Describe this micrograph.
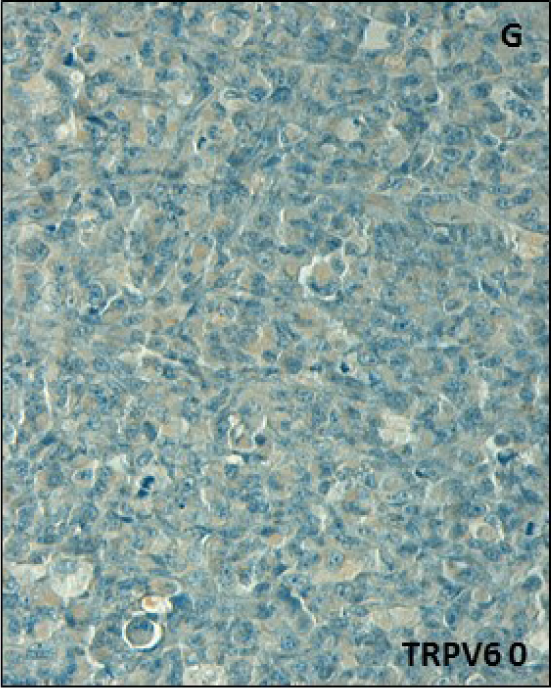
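Densely cellular sheet of tumor cells filling the field. Nuclei are blue, crowded and of varying size and shape, with scant pale cytoplasm between them. A few cells show clear, vacuolated cytoplasm. Brown stain is nearly absent, at most faint pale tan tinges in scattered cells.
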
